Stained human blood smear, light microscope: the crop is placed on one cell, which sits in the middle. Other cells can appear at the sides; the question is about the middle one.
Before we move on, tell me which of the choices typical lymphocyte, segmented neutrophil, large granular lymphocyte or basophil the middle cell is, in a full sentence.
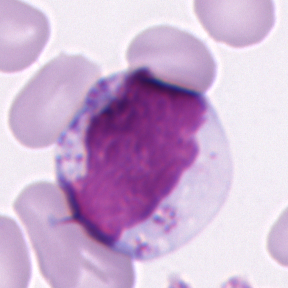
In this smear crop, the middle cell is a large granular lymphocyte.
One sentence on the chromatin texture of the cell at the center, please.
The chromatin is fine; coarse clumps are not a feature here.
